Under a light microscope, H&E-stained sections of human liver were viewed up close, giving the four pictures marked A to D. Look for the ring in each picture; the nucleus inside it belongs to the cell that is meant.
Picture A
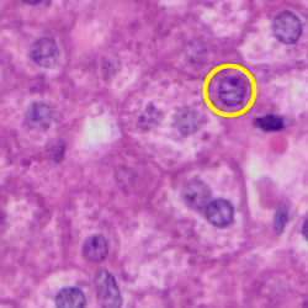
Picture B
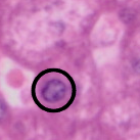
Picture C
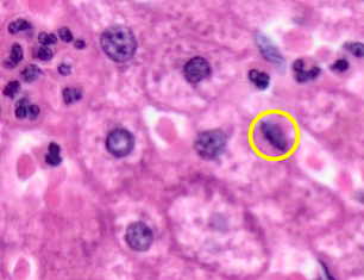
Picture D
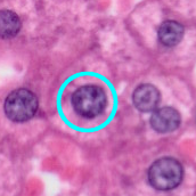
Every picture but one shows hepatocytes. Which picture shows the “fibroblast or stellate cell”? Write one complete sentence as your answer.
The picture with the “fibroblast or stellate cell” is C.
